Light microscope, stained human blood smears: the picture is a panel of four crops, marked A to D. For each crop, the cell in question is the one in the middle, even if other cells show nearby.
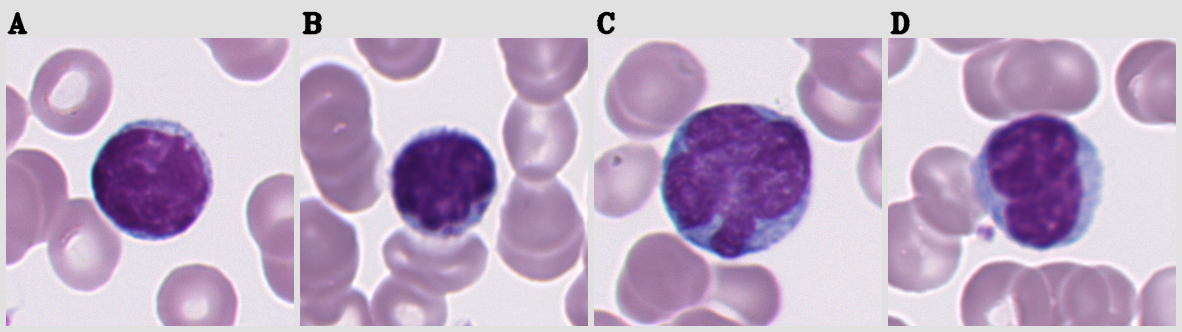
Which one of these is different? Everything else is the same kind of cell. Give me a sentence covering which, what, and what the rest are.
Crop C does not match the others; it shows a myeloblast, and they show typical lymphocytes.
